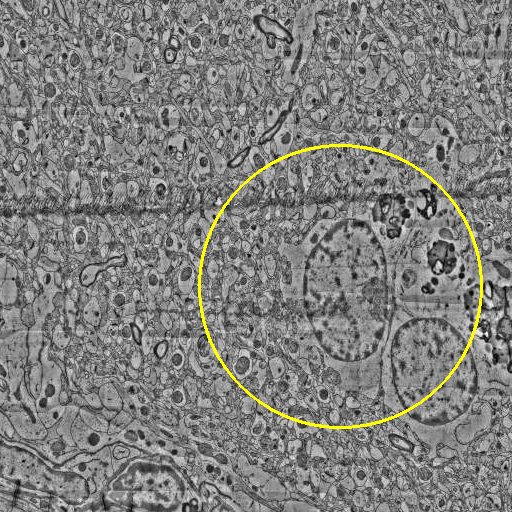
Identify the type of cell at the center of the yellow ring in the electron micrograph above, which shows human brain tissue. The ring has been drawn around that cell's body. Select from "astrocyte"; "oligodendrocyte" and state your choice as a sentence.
The yellow ring is centered on the body of an astrocyte.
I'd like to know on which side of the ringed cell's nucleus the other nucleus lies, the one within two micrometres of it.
The other nucleus is situated to the lower right of it.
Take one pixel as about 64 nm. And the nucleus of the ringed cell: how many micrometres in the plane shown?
About 9 by 5 micrometres in this plane; clearly longer than it is wide.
